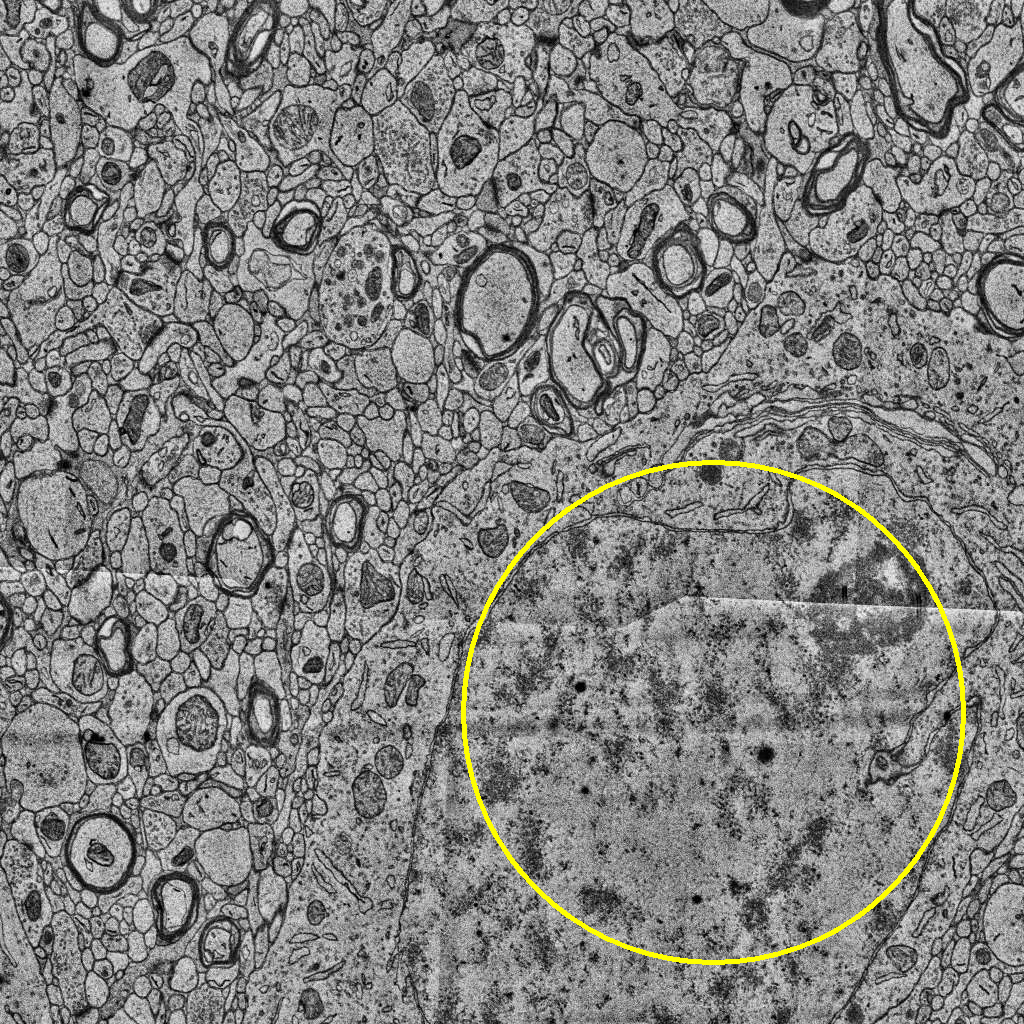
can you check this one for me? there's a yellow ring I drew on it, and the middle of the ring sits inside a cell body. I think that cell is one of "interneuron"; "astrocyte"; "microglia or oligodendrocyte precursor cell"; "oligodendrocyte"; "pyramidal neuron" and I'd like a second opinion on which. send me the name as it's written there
interneuron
